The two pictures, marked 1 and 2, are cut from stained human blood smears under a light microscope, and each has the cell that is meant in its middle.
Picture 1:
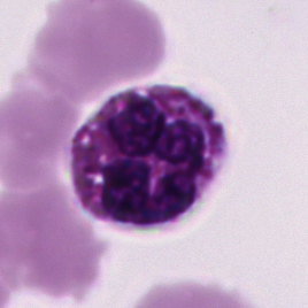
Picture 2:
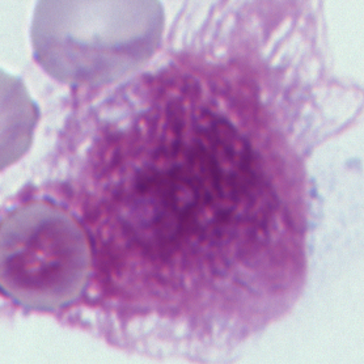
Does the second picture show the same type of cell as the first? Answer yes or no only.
no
